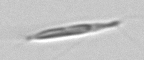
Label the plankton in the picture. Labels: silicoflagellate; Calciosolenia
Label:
Calciosolenia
